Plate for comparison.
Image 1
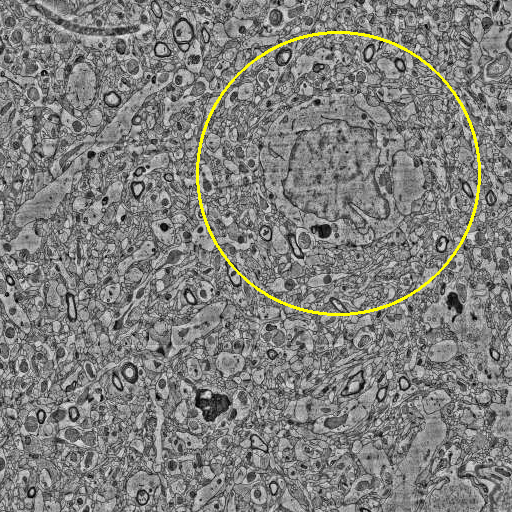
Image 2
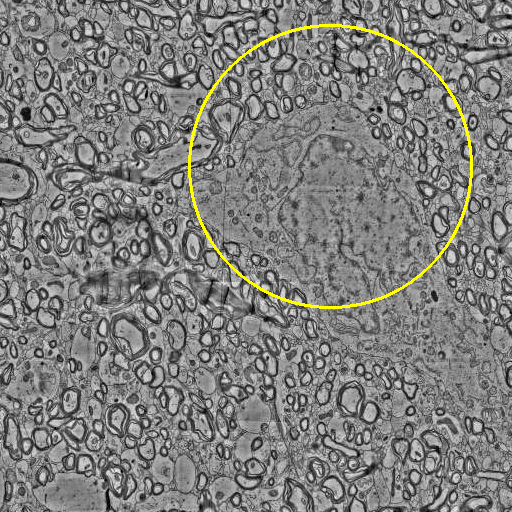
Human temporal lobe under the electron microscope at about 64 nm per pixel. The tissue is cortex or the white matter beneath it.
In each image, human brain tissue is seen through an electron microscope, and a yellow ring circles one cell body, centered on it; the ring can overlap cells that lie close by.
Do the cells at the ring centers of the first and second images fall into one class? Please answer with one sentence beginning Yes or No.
Yes, the first and second images show a single class of cell at the ring centers.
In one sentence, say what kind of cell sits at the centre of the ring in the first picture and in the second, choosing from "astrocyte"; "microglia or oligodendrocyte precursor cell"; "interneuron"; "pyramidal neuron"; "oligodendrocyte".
Each of the two cells is an interneuron.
